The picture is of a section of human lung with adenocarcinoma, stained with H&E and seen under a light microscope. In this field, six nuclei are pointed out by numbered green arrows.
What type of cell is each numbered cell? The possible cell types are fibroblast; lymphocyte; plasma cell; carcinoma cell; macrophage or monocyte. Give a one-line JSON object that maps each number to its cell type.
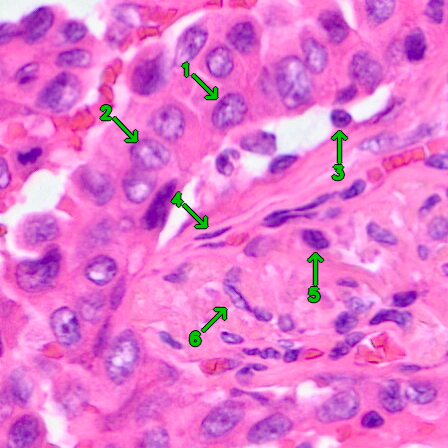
{"1": "carcinoma cell", "2": "carcinoma cell", "3": "lymphocyte", "4": "fibroblast", "5": "plasma cell", "6": "fibroblast"}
